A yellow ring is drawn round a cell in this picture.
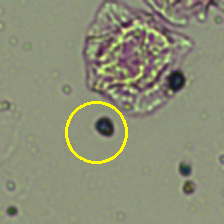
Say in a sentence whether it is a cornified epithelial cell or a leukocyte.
The cell in the ring is a leukocyte.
